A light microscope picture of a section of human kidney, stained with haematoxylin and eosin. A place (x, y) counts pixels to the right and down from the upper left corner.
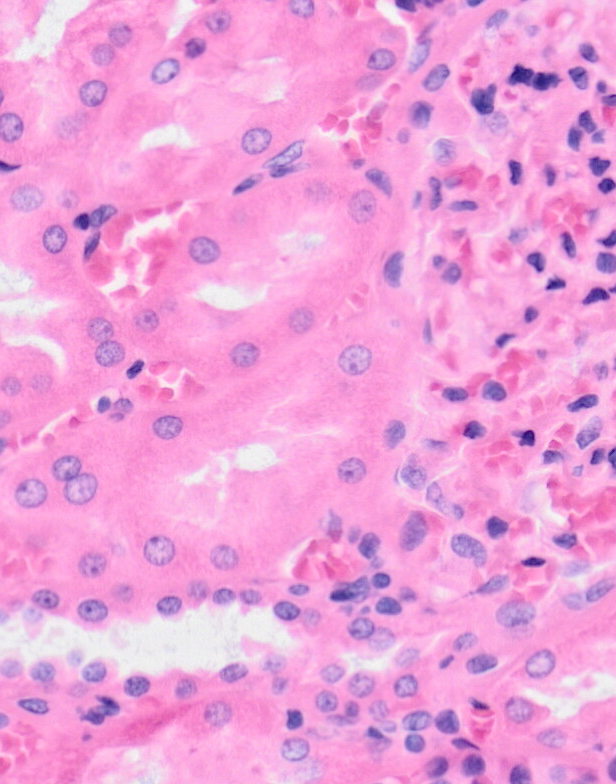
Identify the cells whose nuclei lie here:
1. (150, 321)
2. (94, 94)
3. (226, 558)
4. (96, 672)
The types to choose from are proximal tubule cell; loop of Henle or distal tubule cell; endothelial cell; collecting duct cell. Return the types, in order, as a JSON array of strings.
["proximal tubule cell", "proximal tubule cell", "proximal tubule cell", "loop of Henle or distal tubule cell"]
